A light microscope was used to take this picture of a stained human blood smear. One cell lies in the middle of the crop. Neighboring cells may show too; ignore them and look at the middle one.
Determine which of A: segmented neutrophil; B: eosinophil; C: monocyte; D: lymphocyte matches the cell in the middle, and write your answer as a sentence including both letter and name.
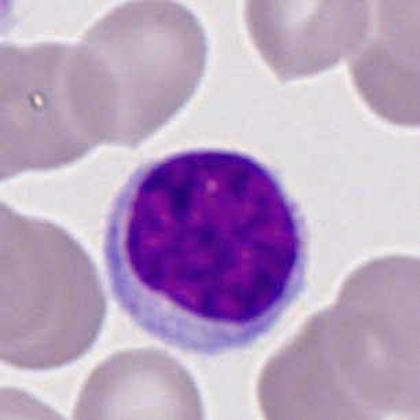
Option D is the keyed answer: the cell in the middle is a lymphocyte.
